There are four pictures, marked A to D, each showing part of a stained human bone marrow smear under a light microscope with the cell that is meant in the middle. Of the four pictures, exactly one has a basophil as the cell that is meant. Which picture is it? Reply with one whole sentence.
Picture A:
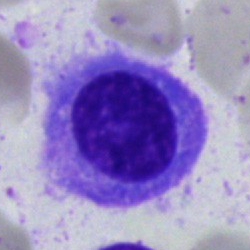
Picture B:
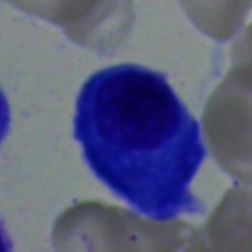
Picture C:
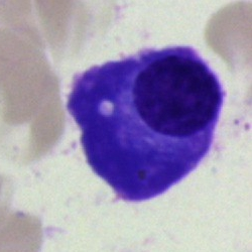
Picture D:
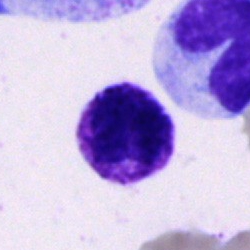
The picture with the basophil is D.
